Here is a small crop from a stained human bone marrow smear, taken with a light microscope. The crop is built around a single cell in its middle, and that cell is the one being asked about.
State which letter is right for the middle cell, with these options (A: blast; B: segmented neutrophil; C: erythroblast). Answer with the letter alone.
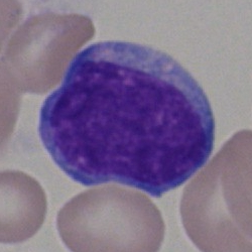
A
